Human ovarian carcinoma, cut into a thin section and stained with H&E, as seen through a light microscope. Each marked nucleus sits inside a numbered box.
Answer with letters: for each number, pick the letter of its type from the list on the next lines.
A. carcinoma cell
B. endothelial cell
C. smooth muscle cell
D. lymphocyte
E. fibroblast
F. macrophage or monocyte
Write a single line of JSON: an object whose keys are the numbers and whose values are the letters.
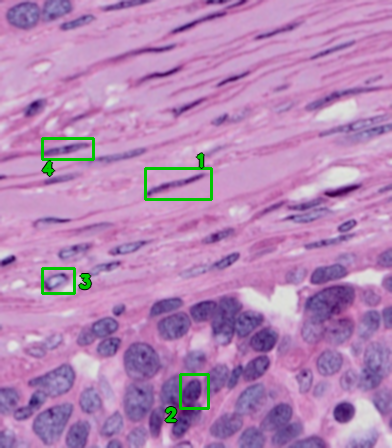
{"1": "E", "2": "A", "3": "E", "4": "E"}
